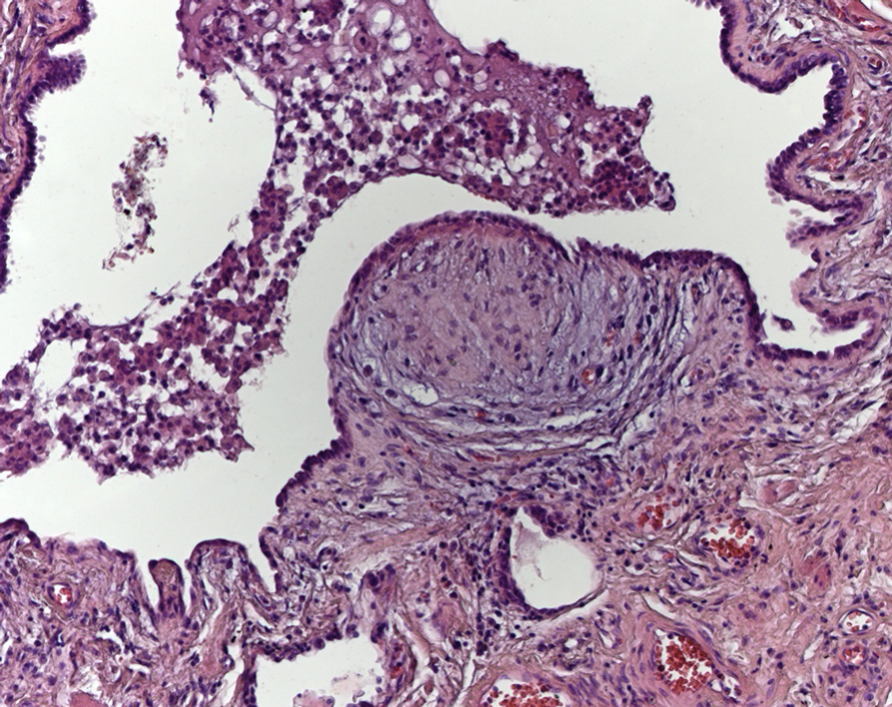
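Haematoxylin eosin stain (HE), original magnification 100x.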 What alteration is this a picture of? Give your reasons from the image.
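Honey combing. Enlarged airspaces are lined by columnar epithelium. The walls between the spaces are fibrous and pink.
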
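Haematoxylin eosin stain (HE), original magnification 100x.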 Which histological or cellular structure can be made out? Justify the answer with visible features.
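A dome-shaped, pale bluish-grey nodule sits in the centre and bulges into an airspace. The nodule holds scattered spindle cells in a loose, pale matrix. An epithelial lining covers the surface of the nodule.
Answer: fibroblastic foci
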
